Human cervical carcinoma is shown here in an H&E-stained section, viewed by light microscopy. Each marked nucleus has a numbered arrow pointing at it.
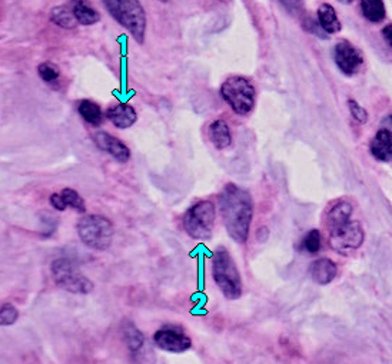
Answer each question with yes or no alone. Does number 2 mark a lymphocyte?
no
